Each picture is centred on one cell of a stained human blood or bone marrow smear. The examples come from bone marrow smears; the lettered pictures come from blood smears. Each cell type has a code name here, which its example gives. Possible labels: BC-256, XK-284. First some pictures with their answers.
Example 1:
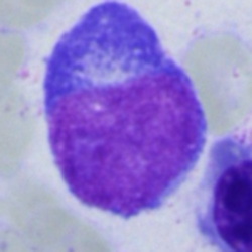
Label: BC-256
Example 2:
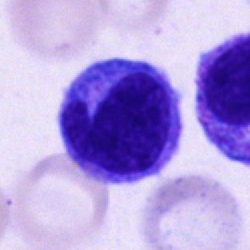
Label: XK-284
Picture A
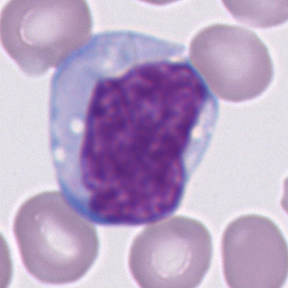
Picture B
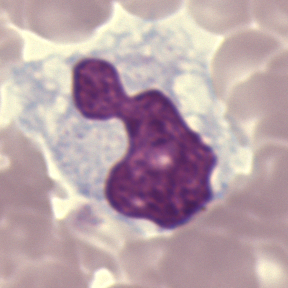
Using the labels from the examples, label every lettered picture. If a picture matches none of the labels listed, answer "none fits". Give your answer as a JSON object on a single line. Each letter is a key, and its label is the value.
{"A": "BC-256", "B": "XK-284"}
